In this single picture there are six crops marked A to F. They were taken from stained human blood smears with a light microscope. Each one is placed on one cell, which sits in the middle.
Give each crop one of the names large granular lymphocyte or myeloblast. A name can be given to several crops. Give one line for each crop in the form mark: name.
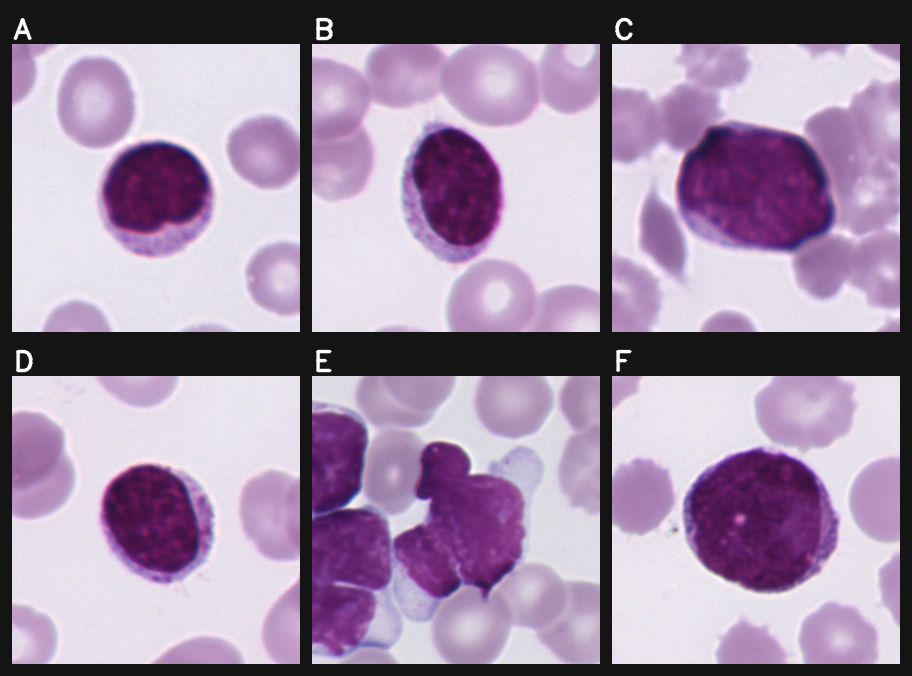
A: large granular lymphocyte
B: large granular lymphocyte
C: myeloblast
D: large granular lymphocyte
E: large granular lymphocyte
F: myeloblast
